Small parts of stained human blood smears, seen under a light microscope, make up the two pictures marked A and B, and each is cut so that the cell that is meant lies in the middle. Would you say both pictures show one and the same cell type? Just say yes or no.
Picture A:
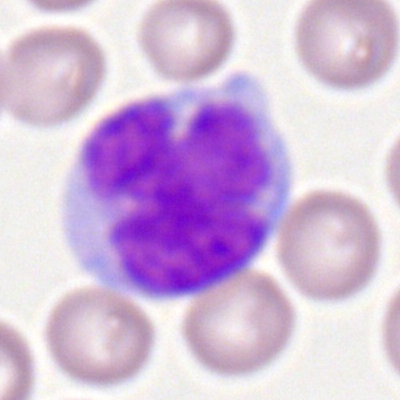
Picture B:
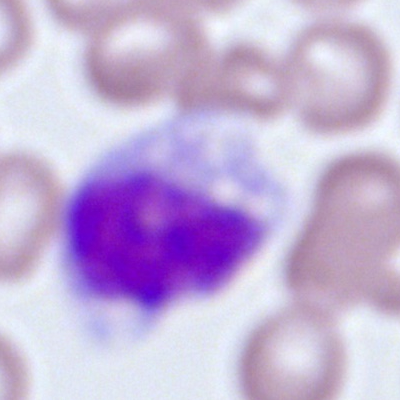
yes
